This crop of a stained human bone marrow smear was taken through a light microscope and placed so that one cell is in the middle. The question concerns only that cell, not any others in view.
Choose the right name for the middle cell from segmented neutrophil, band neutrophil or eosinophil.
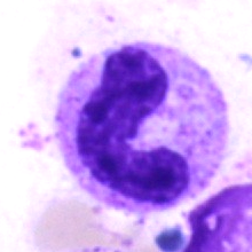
band neutrophil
